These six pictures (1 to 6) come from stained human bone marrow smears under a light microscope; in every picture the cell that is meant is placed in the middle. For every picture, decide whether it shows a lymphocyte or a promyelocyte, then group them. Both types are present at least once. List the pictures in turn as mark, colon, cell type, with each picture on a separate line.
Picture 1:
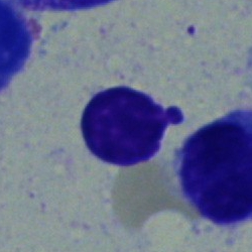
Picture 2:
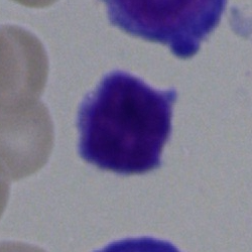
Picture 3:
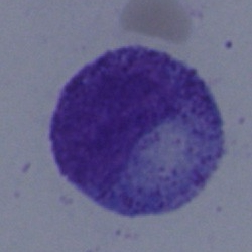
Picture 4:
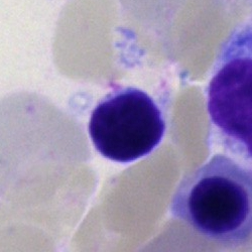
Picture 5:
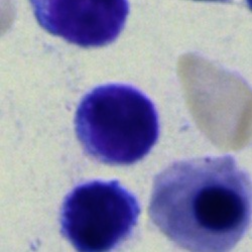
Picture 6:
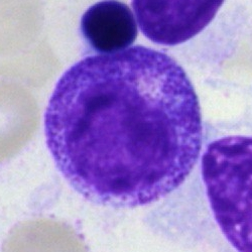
1: lymphocyte
2: lymphocyte
3: promyelocyte
4: lymphocyte
5: lymphocyte
6: promyelocyte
